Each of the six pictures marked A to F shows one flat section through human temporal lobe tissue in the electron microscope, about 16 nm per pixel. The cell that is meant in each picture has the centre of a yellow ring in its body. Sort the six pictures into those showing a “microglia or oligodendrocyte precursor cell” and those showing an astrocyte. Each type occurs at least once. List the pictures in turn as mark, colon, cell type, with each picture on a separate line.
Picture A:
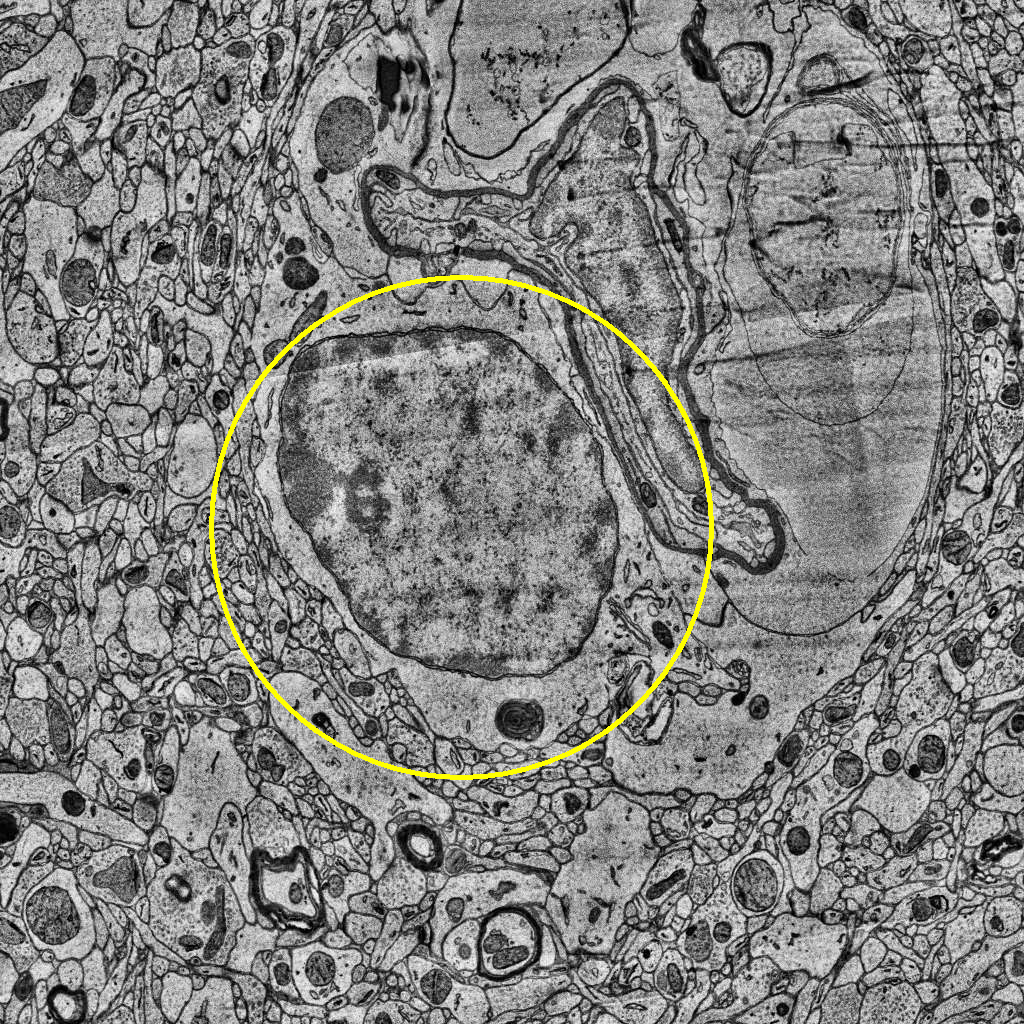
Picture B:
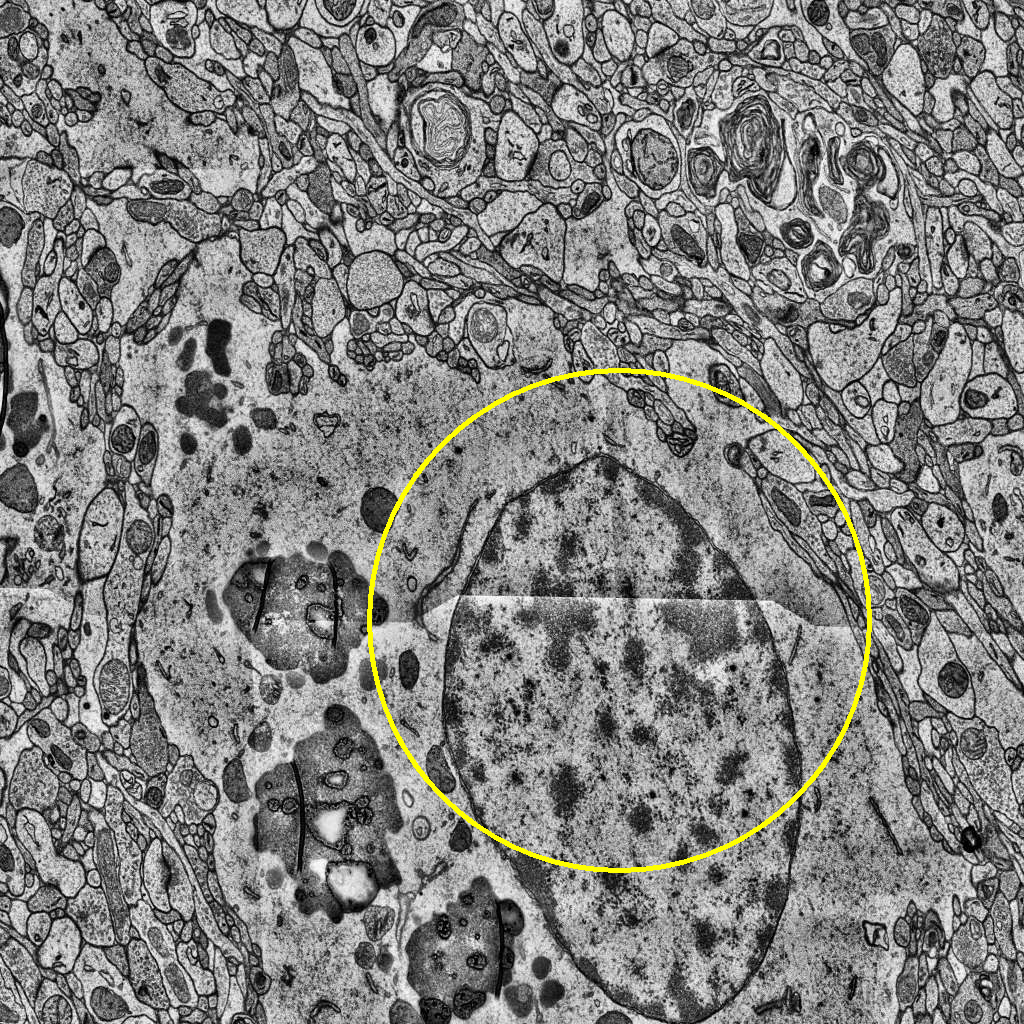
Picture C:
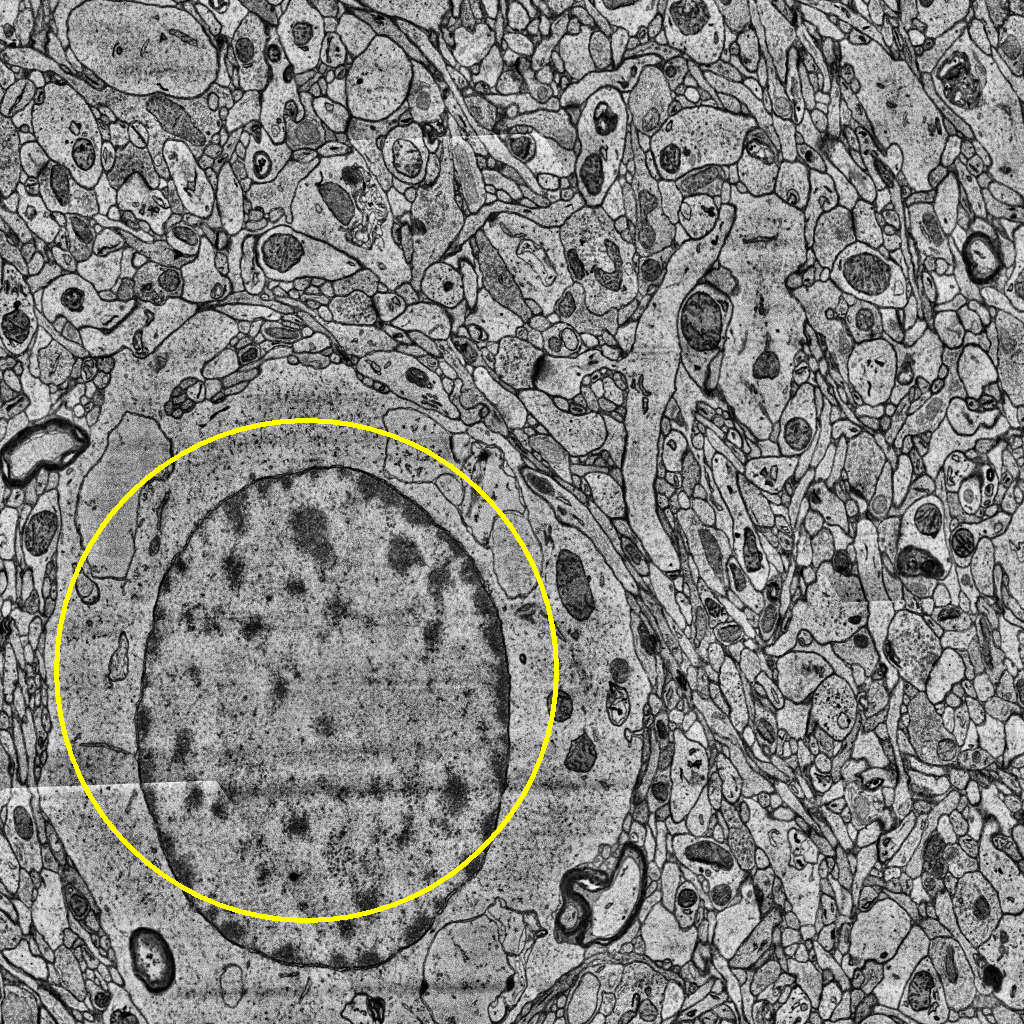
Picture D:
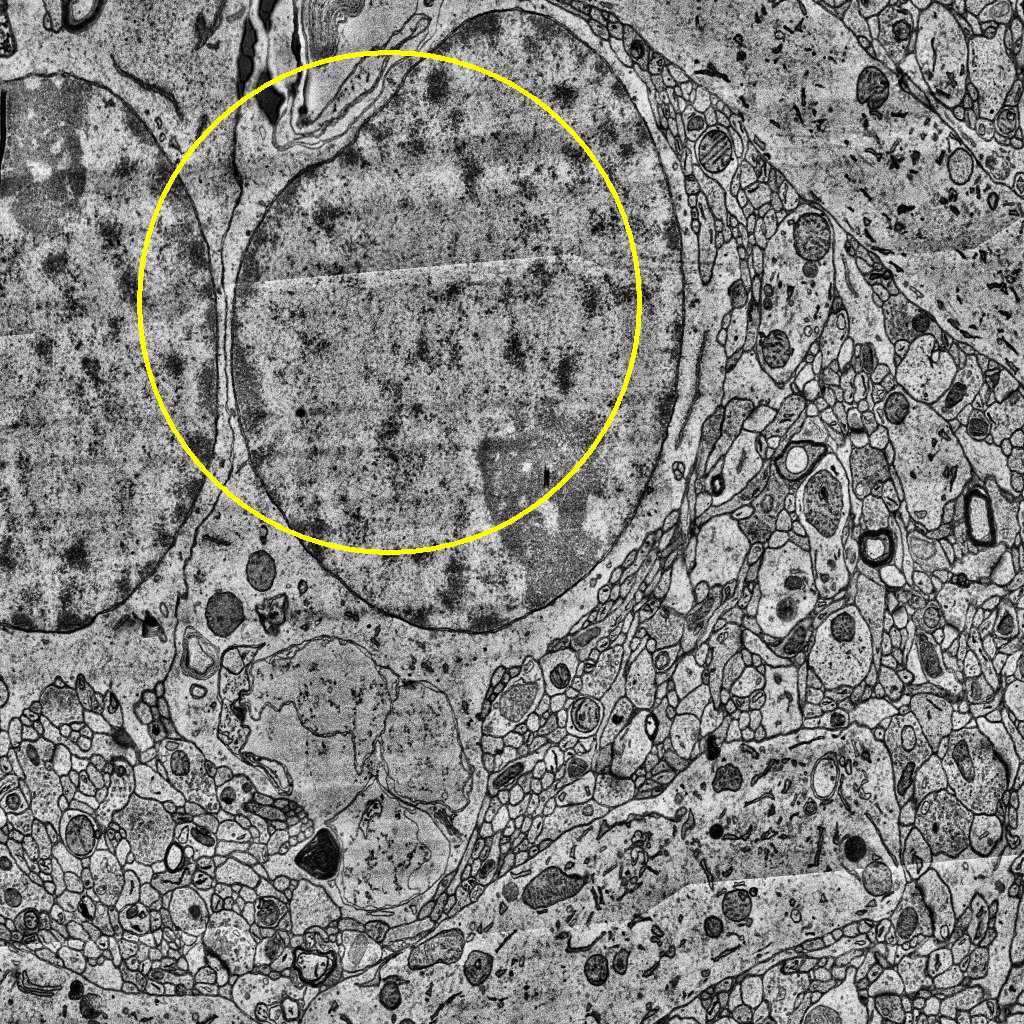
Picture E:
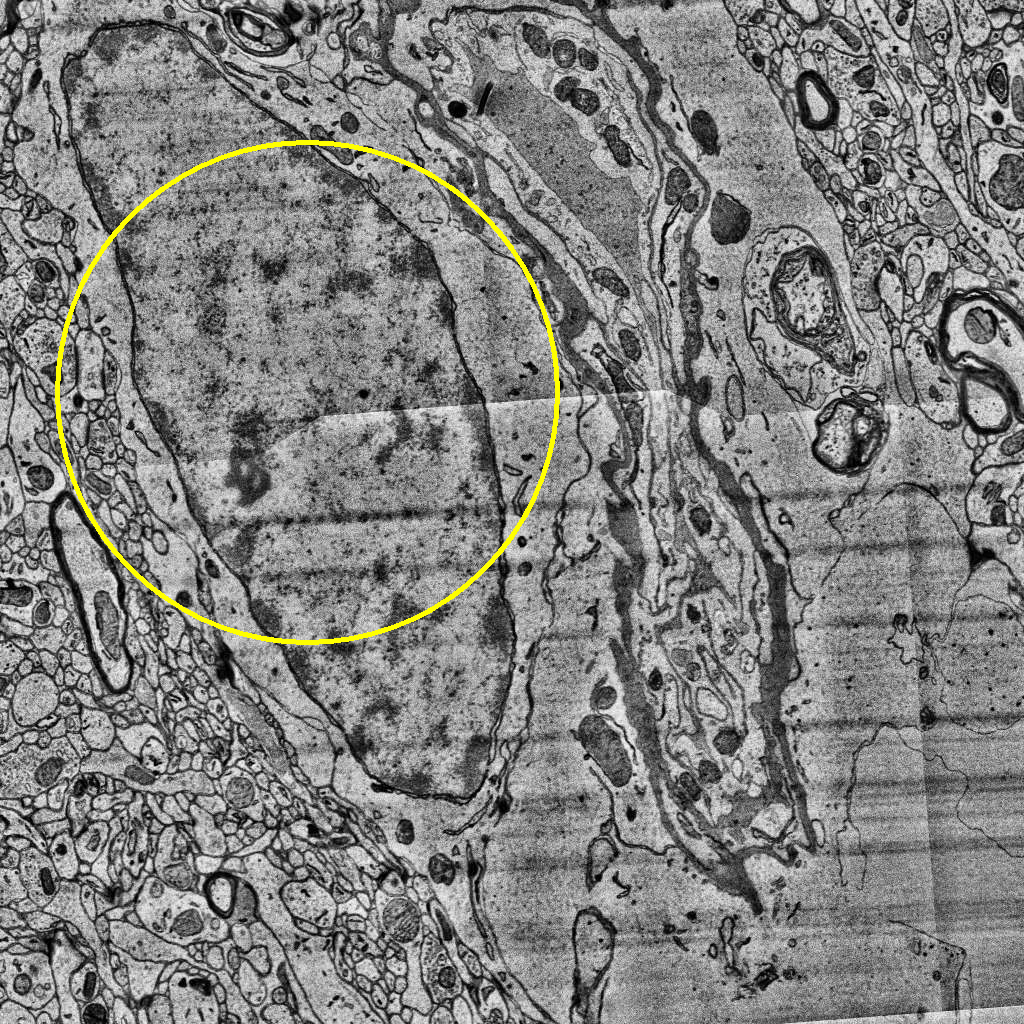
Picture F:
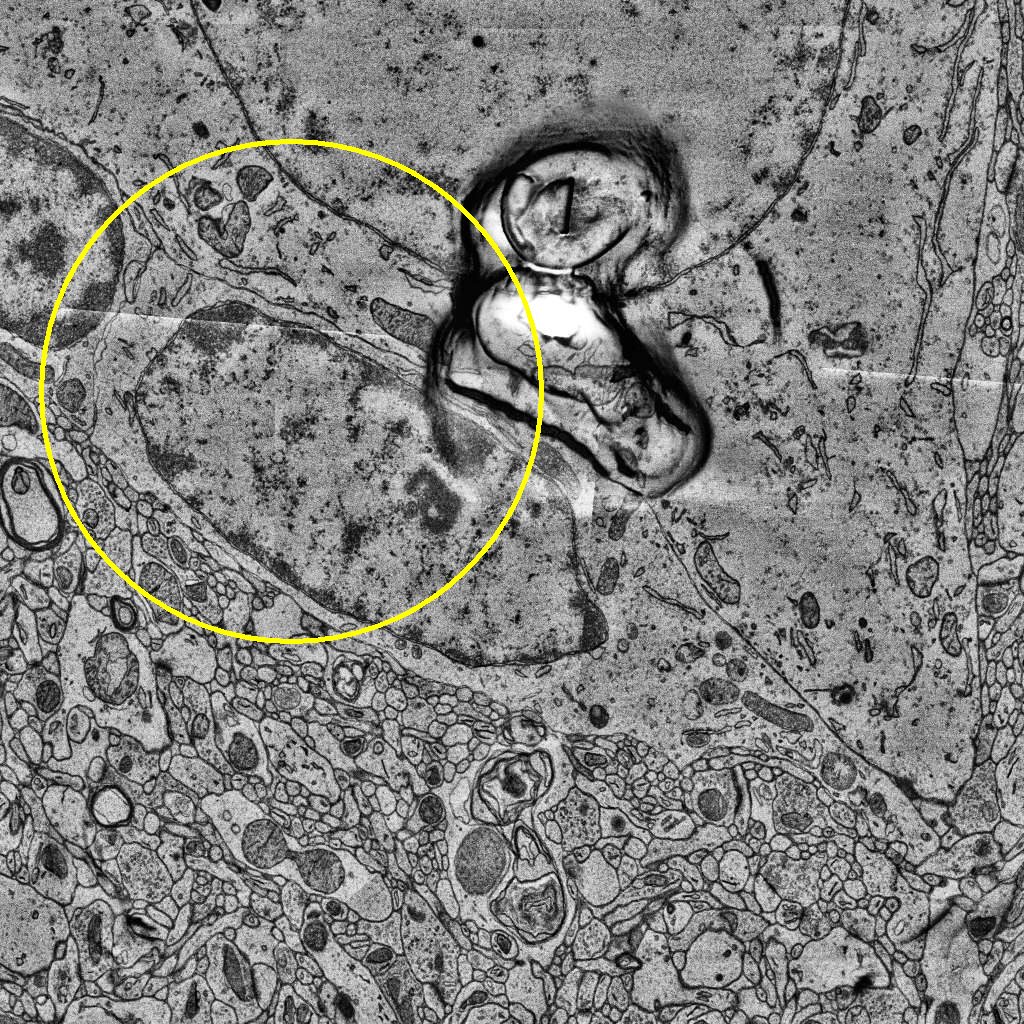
A: microglia or oligodendrocyte precursor cell
B: astrocyte
C: astrocyte
D: astrocyte
E: microglia or oligodendrocyte precursor cell
F: microglia or oligodendrocyte precursor cell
